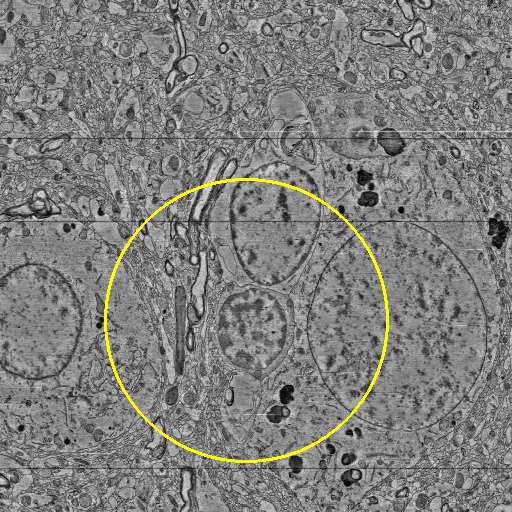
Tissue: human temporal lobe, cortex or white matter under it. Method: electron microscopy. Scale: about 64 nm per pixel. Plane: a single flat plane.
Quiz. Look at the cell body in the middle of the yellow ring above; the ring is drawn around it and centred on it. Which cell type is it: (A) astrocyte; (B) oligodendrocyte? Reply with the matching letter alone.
B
